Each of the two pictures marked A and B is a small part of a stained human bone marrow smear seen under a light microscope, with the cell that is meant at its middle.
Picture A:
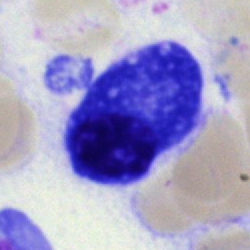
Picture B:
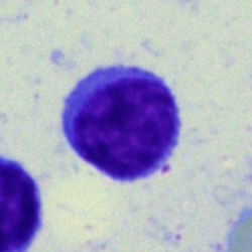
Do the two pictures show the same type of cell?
no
